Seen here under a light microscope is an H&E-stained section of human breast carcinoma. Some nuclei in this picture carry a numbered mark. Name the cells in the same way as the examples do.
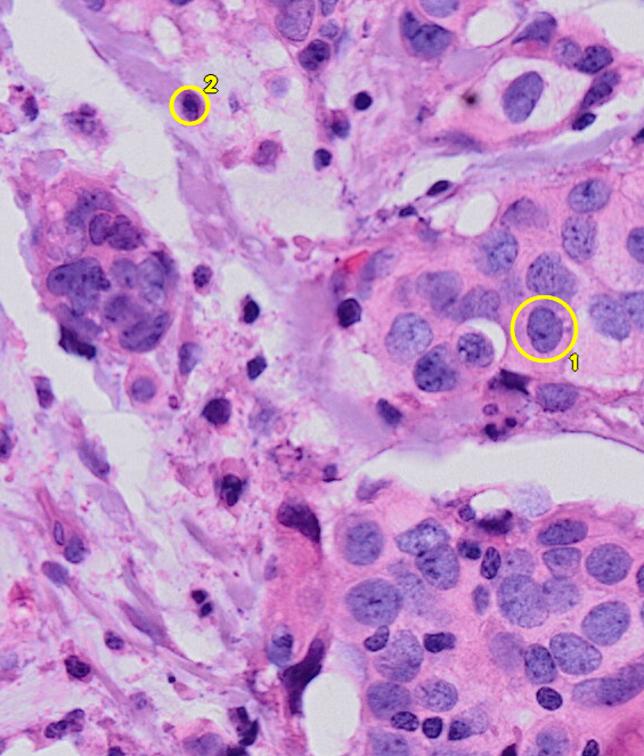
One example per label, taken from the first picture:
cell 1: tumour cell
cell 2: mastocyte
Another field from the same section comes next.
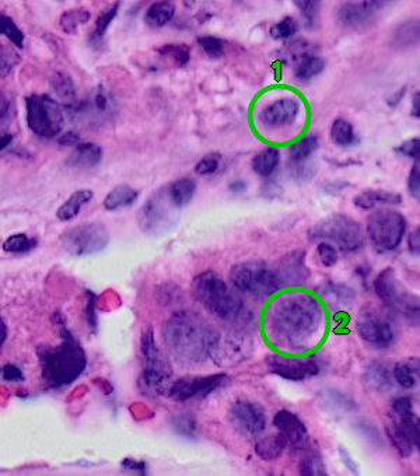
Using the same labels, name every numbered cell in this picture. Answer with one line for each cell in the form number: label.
1: mastocyte
2: tumour cell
